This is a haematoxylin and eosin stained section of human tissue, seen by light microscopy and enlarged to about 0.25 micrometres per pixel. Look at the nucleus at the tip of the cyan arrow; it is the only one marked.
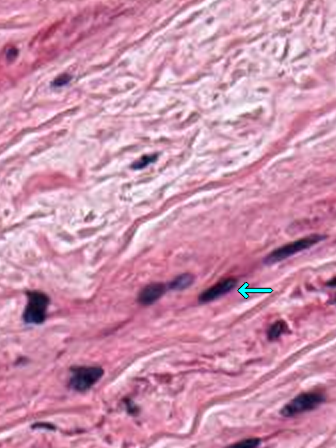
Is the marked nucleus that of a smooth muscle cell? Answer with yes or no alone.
yes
